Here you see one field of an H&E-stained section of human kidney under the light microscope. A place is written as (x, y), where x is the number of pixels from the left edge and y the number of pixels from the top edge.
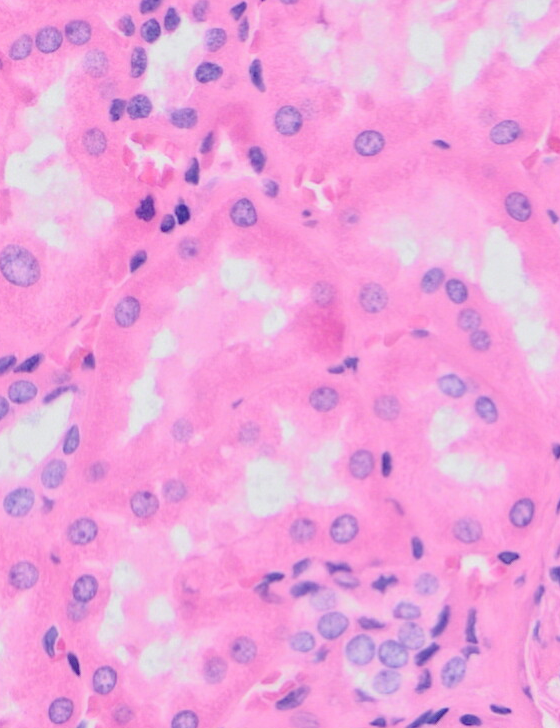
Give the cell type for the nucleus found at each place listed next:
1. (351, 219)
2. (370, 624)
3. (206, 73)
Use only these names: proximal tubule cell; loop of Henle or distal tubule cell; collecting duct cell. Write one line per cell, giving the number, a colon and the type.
1: proximal tubule cell
2: collecting duct cell
3: loop of Henle or distal tubule cell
